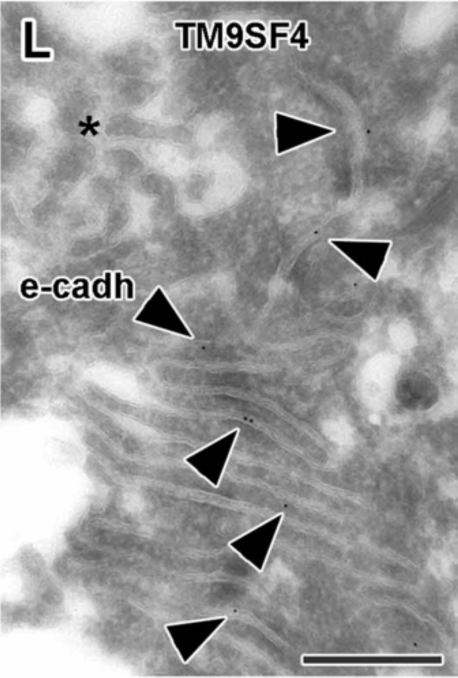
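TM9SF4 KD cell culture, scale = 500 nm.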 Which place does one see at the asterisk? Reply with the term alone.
intercellular space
